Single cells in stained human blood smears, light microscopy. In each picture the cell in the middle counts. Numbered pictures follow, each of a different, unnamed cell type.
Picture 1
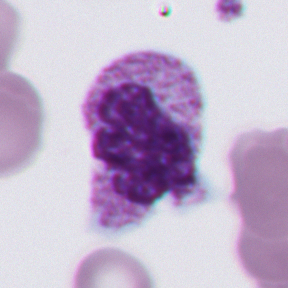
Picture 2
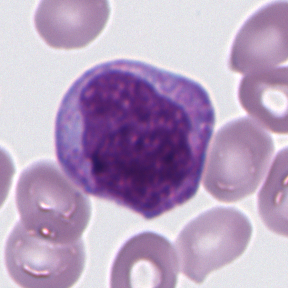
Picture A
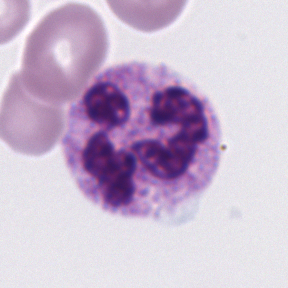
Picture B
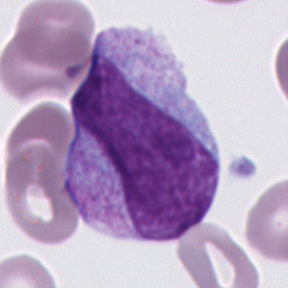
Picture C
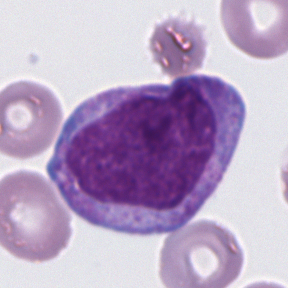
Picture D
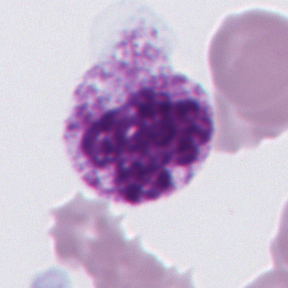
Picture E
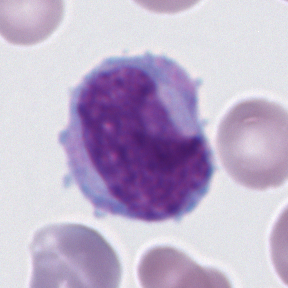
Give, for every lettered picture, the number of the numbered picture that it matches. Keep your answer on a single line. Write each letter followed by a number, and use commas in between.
A 1, B 2, C 2, D 1, E 2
